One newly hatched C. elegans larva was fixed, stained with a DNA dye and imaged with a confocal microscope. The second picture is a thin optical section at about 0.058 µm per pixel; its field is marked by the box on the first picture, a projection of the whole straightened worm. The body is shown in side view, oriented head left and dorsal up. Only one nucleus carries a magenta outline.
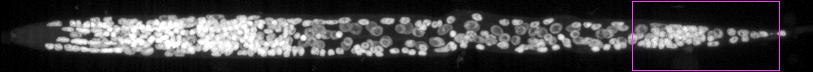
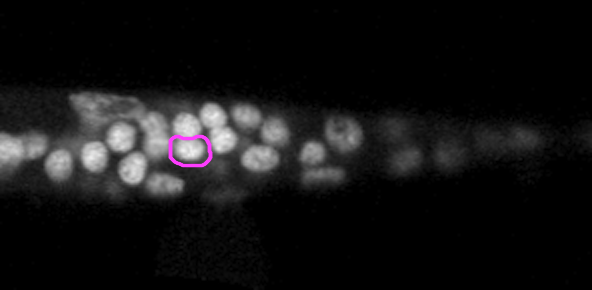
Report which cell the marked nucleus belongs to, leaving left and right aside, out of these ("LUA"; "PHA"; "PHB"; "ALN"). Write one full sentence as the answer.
The marked cell is PHA, a neuron.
